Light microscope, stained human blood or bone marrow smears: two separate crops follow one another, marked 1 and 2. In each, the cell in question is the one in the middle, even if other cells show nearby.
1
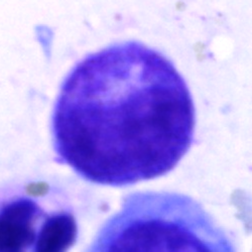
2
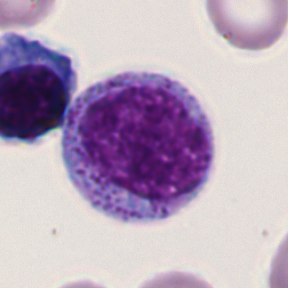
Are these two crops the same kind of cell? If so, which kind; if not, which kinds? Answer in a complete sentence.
No, crop 1 shows a promyelocyte and crop 2 a myelocyte.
